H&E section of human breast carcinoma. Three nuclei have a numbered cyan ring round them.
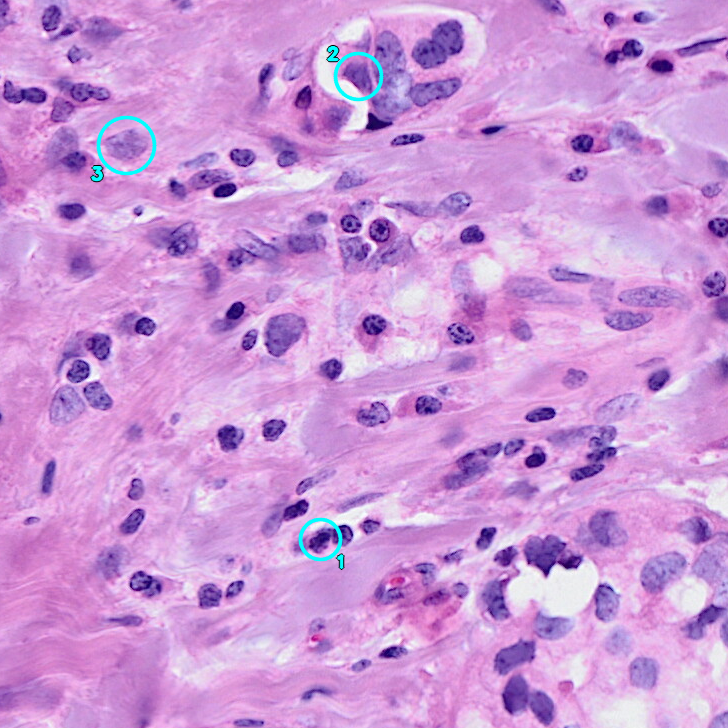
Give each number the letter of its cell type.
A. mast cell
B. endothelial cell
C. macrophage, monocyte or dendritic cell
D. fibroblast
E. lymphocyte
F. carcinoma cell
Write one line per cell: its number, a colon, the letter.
1: E
2: F
3: D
